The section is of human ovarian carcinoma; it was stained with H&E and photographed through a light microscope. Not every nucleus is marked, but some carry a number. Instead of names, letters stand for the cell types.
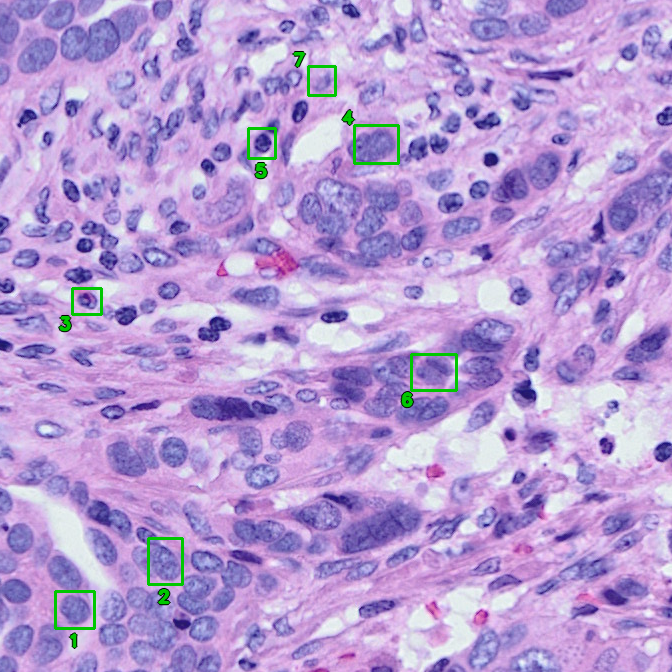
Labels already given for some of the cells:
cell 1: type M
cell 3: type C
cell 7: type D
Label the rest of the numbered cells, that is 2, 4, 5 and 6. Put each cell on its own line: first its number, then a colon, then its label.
2: type M
4: type M
5: type C
6: type M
